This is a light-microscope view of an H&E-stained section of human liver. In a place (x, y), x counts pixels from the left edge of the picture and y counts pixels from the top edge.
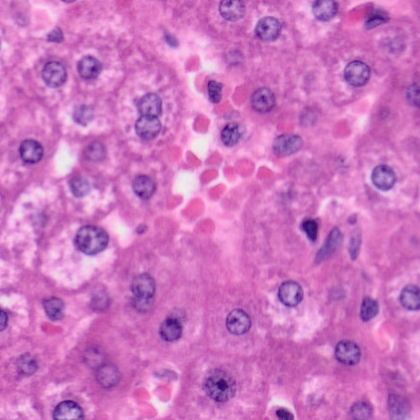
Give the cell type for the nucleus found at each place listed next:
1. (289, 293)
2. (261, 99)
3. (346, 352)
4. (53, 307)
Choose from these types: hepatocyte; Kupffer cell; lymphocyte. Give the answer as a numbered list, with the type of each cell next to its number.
1. hepatocyte
2. hepatocyte
3. hepatocyte
4. Kupffer cell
